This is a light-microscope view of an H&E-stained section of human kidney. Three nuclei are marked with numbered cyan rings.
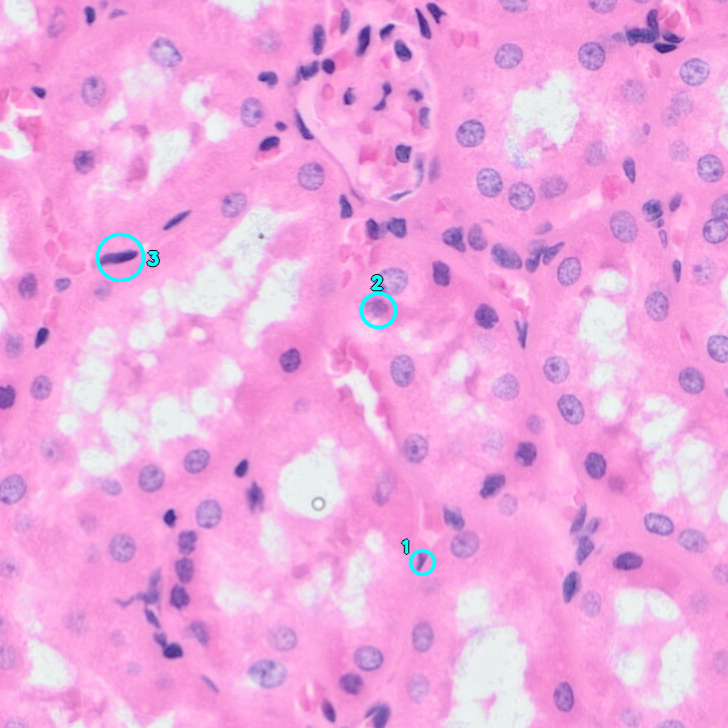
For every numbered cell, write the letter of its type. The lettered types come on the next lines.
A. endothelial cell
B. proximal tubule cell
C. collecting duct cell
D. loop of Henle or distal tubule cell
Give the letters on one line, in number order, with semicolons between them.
A; B; A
